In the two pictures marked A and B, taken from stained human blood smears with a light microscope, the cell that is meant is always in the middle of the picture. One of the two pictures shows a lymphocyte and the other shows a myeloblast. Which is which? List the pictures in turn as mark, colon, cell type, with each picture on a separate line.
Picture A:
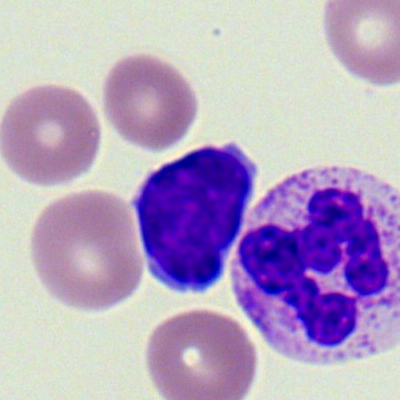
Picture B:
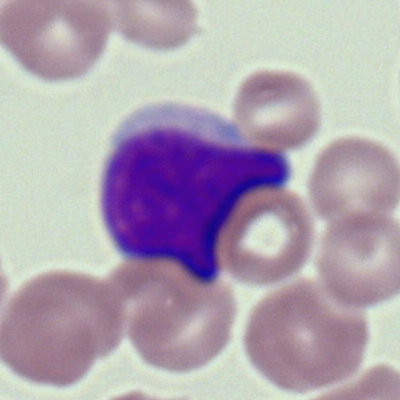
A: lymphocyte
B: myeloblast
